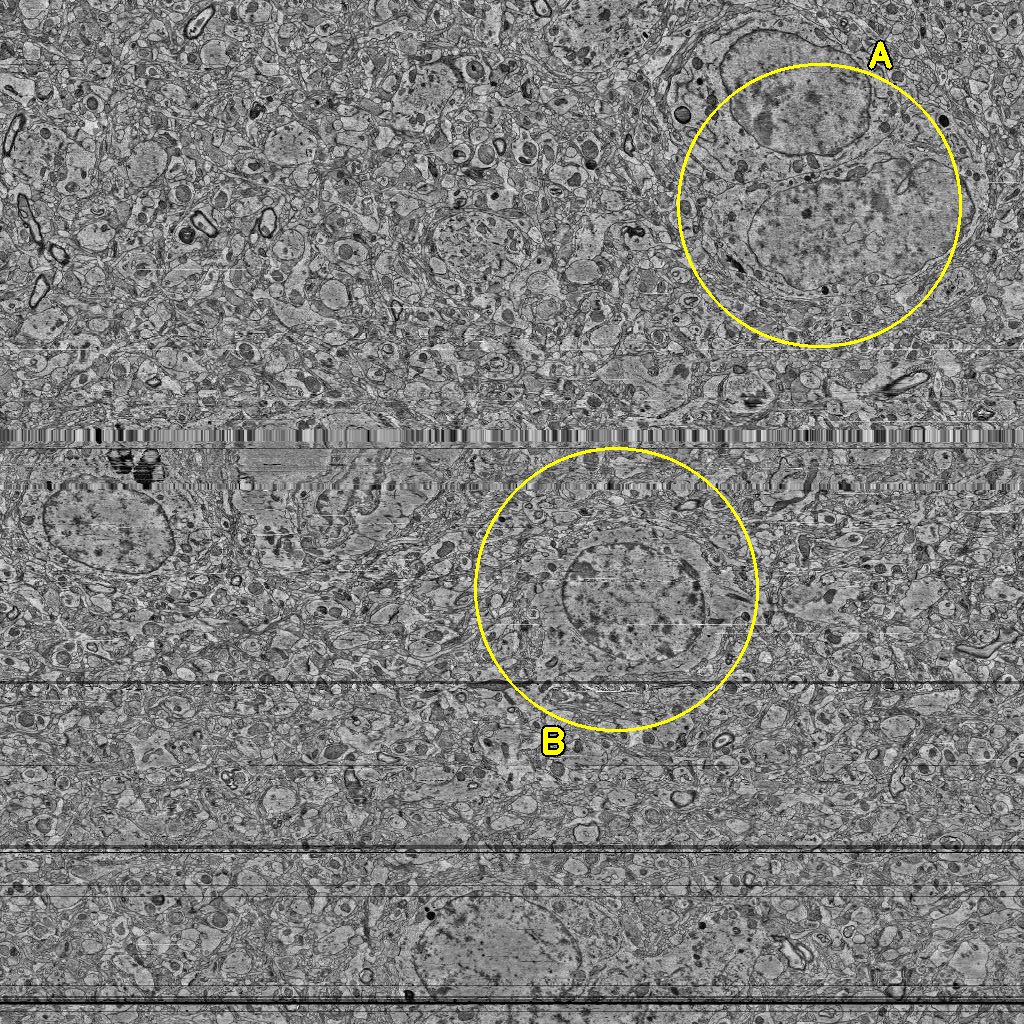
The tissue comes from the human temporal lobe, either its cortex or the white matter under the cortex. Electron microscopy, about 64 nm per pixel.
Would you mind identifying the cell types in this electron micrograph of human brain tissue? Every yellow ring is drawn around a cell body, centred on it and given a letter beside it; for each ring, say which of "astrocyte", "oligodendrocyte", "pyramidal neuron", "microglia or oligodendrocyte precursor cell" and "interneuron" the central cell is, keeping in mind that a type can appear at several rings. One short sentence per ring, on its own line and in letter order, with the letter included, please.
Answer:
At the centre of ring A lies an interneuron.
At the centre of ring B lies an astrocyte.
